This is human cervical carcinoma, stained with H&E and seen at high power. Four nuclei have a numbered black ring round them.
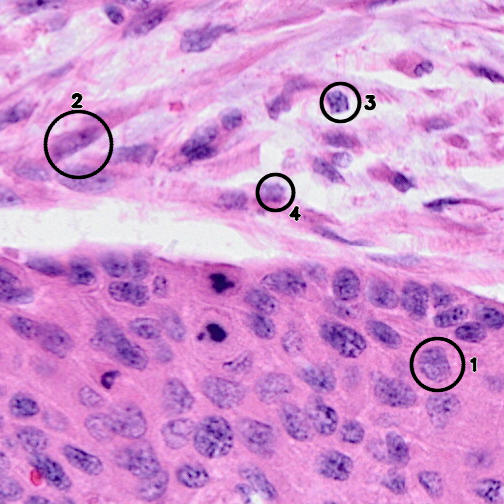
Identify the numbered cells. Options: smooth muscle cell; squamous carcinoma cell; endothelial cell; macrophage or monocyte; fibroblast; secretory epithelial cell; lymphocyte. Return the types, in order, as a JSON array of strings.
["squamous carcinoma cell", "fibroblast", "lymphocyte", "fibroblast"]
